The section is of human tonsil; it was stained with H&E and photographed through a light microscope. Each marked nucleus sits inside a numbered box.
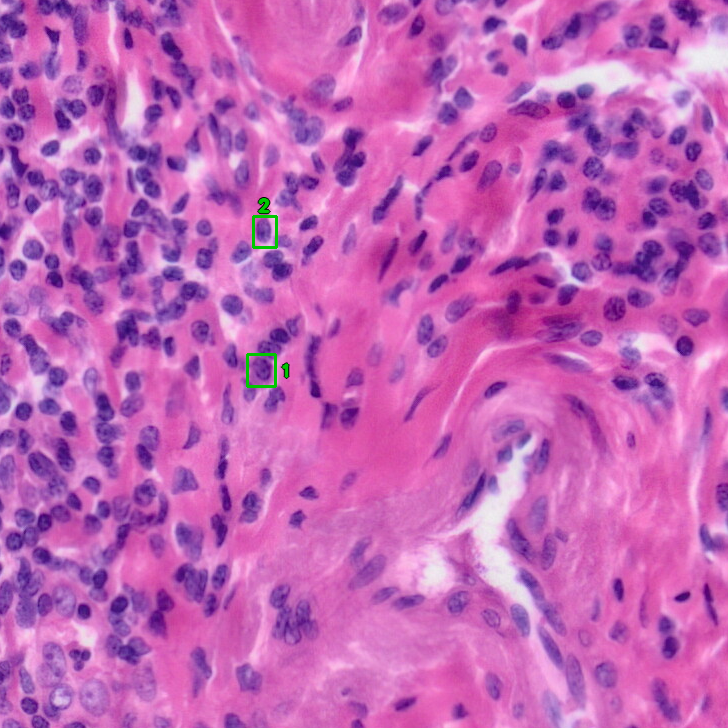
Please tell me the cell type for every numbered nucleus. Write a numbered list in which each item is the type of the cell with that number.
1. plasma cell
2. mast cell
